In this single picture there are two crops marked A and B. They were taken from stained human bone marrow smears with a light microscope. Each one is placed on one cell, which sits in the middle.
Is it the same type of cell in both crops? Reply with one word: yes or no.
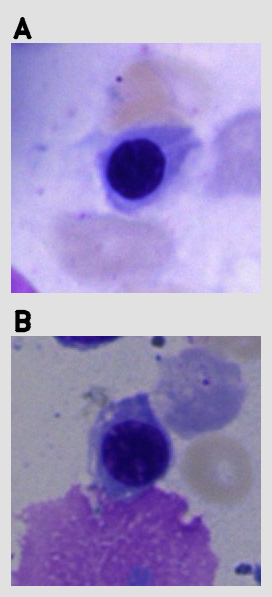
yes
